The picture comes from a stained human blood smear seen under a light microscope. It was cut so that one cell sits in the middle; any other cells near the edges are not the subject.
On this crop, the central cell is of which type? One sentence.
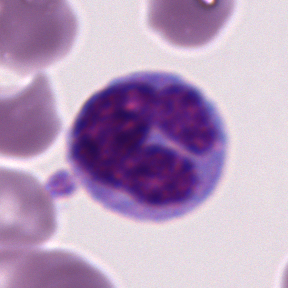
Whatever else lies nearby, the middle cell is a monocyte.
